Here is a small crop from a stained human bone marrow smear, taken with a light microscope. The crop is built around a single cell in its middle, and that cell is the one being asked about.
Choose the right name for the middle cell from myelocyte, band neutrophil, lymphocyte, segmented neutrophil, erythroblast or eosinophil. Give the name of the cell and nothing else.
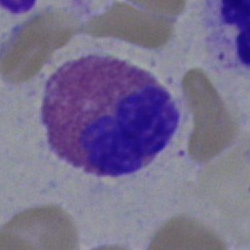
eosinophil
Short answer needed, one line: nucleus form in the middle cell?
Kindly observe that the nucleus forms two or more lobes.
